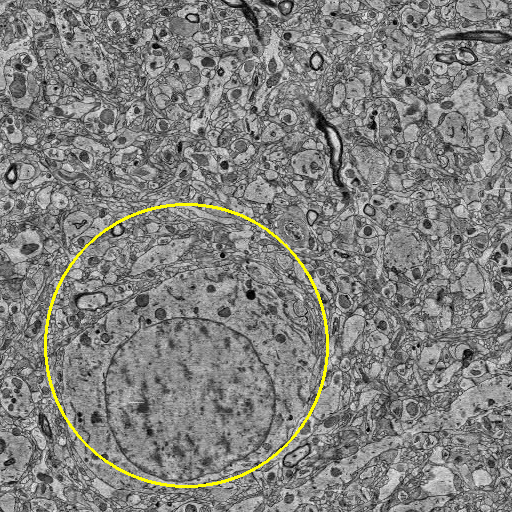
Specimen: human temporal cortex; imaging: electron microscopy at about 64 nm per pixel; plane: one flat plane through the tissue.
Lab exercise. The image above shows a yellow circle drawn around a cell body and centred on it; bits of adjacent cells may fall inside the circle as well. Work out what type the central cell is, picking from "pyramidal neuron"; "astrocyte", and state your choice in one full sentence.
In the image above, the cell at the centre of the yellow circle is a pyramidal neuron.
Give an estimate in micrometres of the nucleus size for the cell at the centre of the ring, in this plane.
Approximately 11 micrometres across, in this plane.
